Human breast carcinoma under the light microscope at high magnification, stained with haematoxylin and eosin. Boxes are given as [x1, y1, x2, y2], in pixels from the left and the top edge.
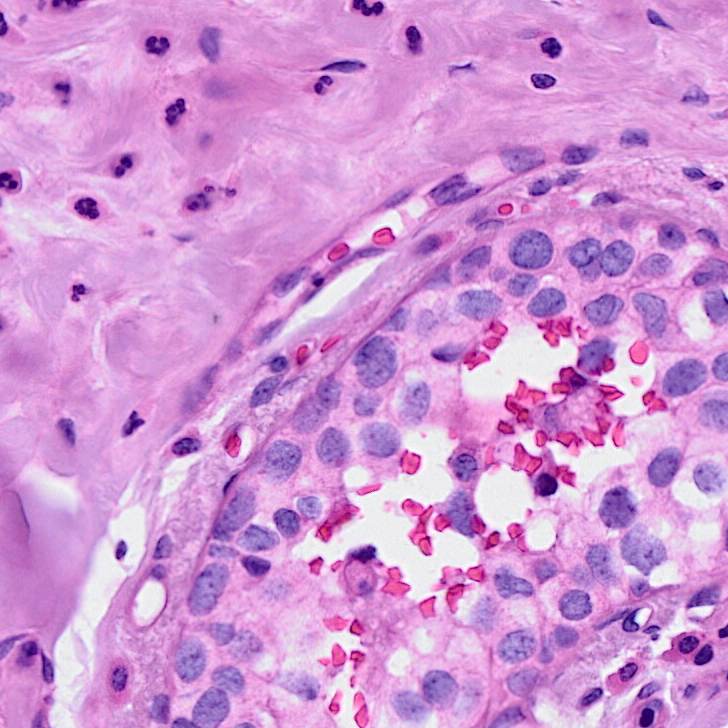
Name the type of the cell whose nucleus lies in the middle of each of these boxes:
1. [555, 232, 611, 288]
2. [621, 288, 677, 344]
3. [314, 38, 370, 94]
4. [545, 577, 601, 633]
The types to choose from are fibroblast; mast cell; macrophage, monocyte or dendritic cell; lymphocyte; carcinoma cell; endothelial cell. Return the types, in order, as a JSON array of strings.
["carcinoma cell", "carcinoma cell", "fibroblast", "carcinoma cell"]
